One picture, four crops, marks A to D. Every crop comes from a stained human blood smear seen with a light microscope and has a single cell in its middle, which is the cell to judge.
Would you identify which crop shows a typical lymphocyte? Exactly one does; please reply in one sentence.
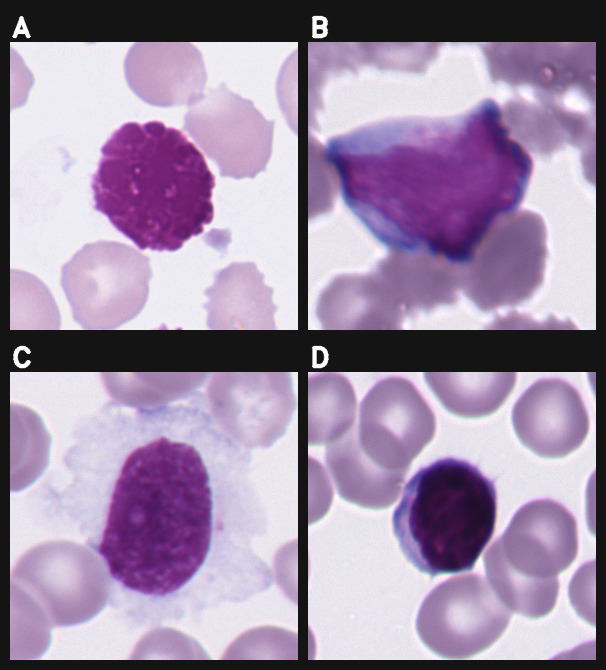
Of the labelled crops, the one that shows a typical lymphocyte is crop D.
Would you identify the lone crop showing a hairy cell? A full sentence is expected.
Crop C shows a hairy cell, and no other crop does.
